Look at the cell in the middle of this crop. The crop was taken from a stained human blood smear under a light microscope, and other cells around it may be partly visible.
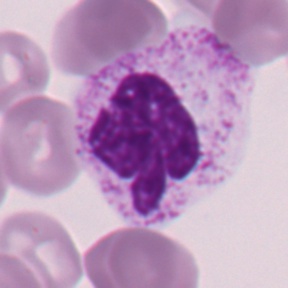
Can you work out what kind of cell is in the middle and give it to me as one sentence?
The cell of interest, located centrally, is a segmented neutrophil.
